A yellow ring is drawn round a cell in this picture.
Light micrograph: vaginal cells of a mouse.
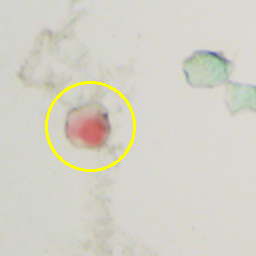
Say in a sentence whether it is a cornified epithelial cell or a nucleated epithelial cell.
The cell in the ring is a nucleated epithelial cell.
